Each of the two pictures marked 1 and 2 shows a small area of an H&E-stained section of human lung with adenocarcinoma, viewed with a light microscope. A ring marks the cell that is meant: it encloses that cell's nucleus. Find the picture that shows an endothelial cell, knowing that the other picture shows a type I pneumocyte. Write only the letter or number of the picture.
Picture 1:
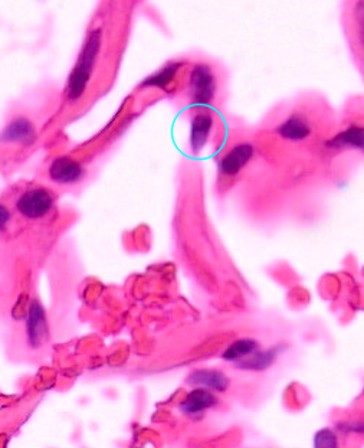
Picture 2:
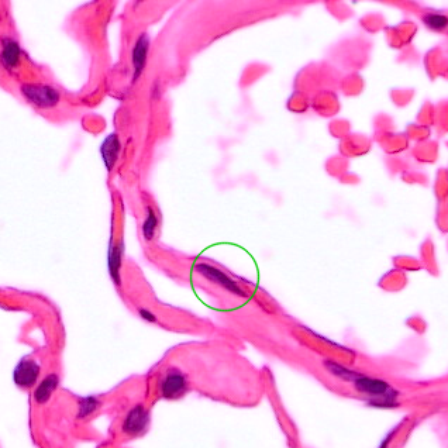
2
